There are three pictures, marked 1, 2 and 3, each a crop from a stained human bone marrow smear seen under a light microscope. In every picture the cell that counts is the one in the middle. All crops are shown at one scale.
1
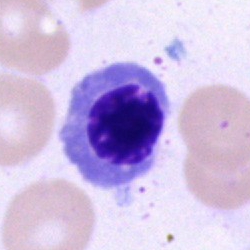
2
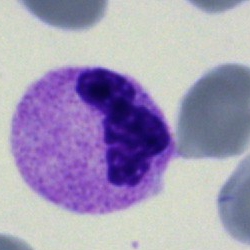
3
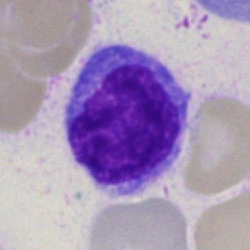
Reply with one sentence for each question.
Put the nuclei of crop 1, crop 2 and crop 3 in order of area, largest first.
Largest first: 3, 2, 1.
